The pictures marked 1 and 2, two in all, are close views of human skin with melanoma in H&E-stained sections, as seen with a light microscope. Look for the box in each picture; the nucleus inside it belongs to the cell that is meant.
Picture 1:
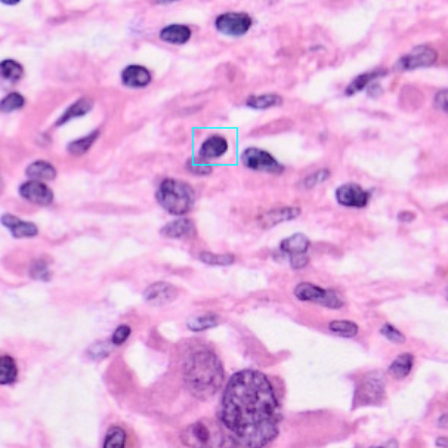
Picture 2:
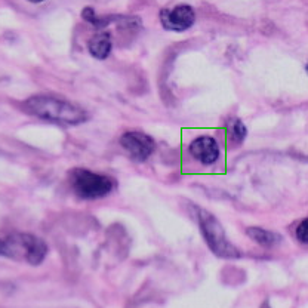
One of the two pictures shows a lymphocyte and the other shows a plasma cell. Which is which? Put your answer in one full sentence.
Picture 1 shows a lymphocyte and picture 2 shows a plasma cell.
